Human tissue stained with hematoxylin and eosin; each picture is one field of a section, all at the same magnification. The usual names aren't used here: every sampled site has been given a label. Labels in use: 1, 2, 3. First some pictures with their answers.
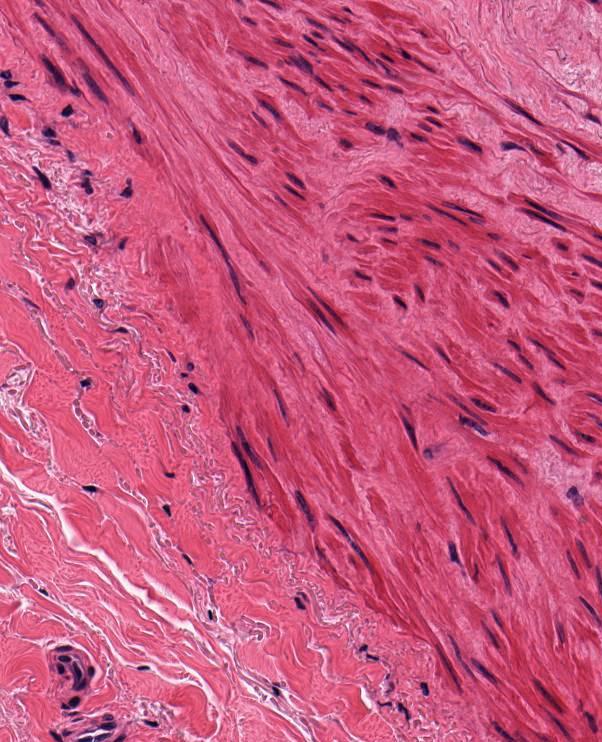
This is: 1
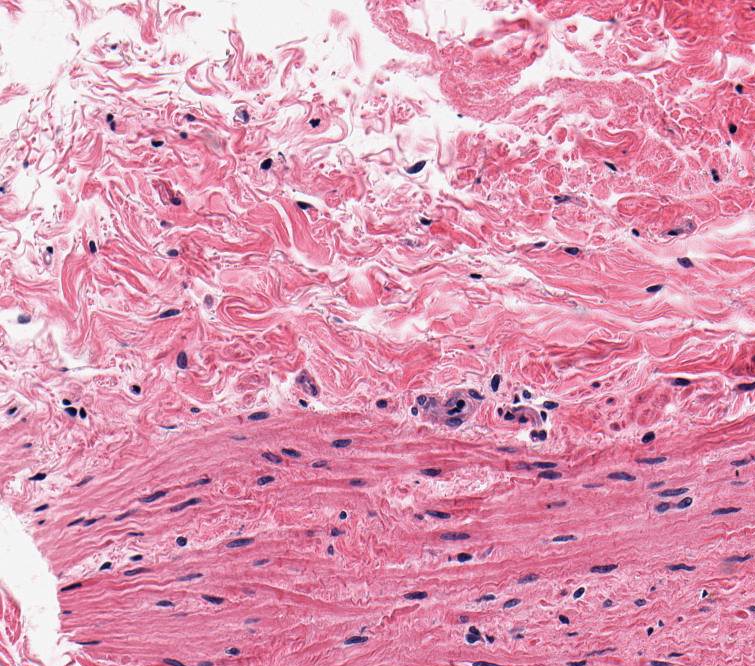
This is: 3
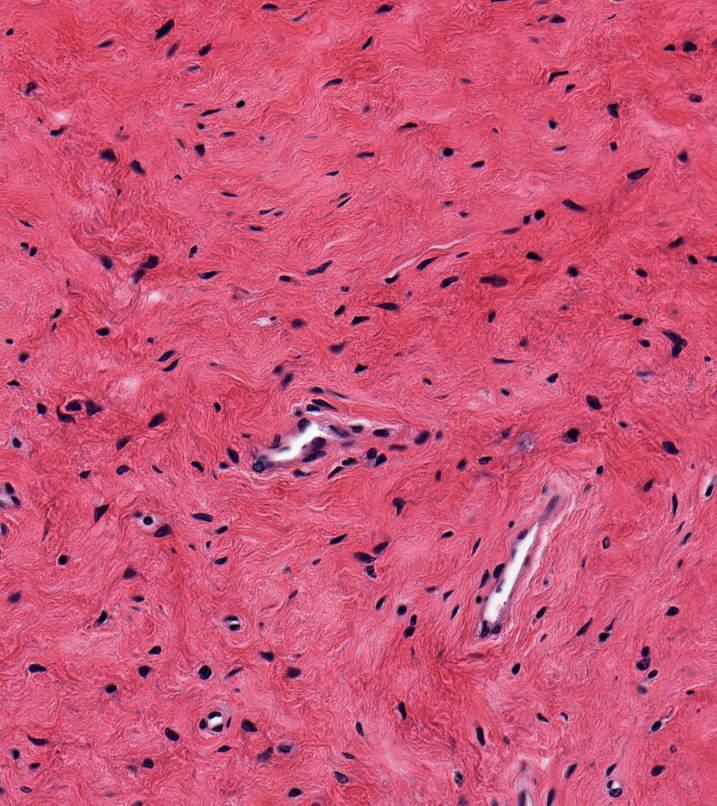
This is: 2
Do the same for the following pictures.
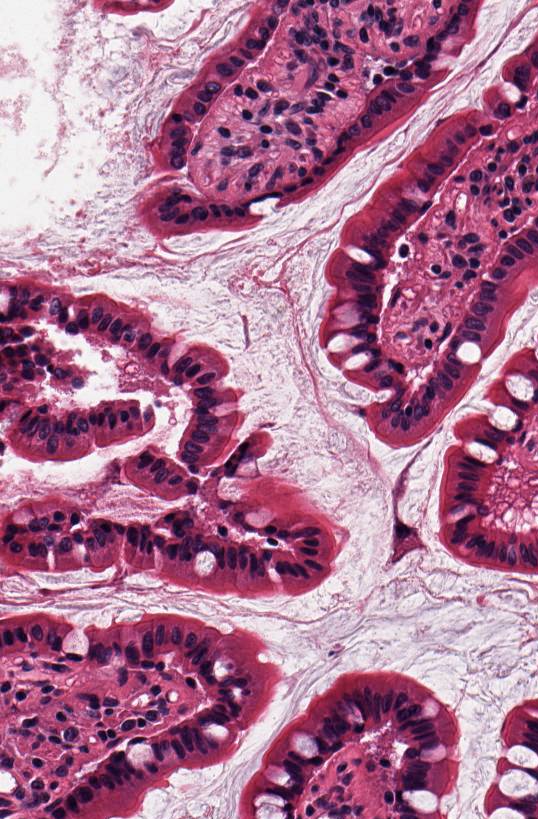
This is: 3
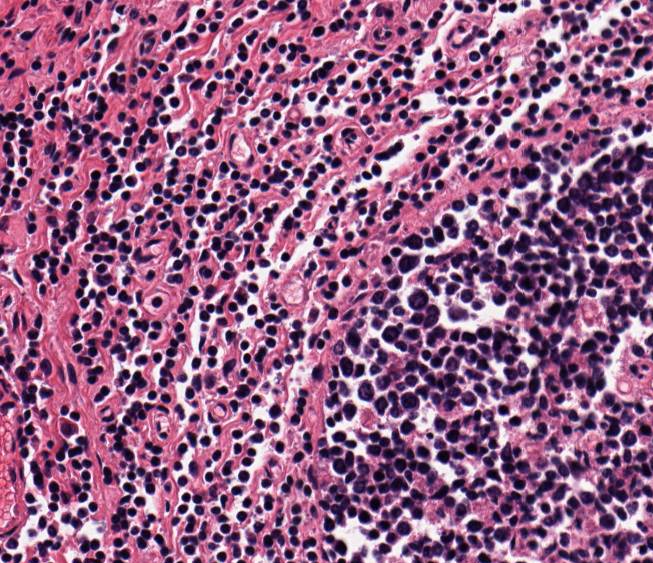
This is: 3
